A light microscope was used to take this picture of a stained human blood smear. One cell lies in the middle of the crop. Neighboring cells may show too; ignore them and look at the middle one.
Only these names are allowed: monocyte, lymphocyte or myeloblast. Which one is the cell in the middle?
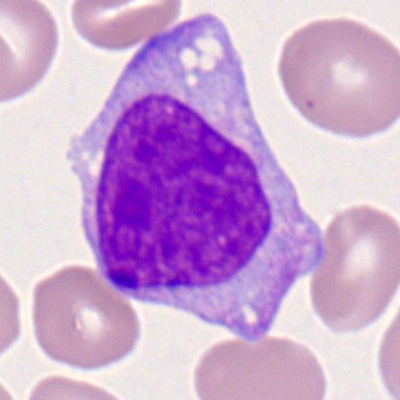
monocyte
